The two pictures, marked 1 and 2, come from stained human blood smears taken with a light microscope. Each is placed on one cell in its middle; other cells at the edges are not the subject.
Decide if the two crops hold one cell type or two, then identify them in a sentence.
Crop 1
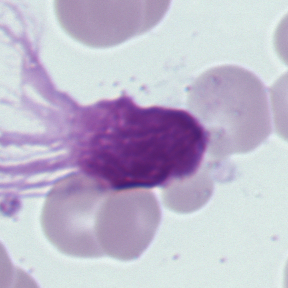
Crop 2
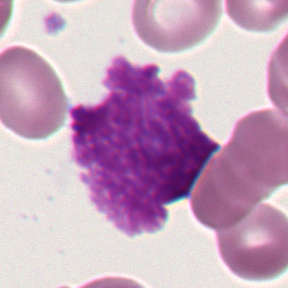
Yes, the cells that the two crops centre on are smudge cells.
